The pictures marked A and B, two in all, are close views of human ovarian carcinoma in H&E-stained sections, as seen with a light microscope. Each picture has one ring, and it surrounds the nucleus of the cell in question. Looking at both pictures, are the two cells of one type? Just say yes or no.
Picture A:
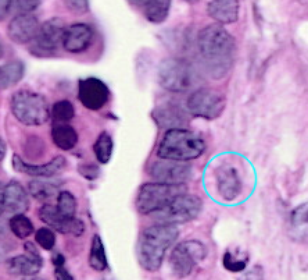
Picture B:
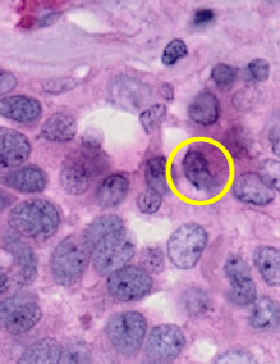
yes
